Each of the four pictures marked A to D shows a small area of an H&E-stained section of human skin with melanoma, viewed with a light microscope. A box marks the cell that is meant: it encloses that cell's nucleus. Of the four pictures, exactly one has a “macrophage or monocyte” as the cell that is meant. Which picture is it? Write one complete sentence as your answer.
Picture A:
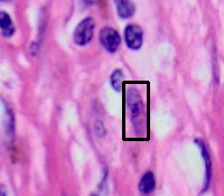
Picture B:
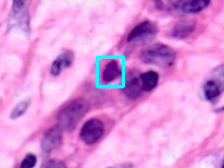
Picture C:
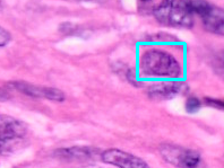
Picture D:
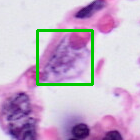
The picture with the “macrophage or monocyte” is A.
